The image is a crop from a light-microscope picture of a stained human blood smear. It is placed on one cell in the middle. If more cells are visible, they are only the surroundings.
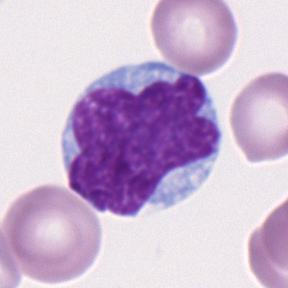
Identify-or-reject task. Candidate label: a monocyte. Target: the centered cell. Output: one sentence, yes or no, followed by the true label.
Yes, the cell in the middle of this smear crop is a monocyte.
